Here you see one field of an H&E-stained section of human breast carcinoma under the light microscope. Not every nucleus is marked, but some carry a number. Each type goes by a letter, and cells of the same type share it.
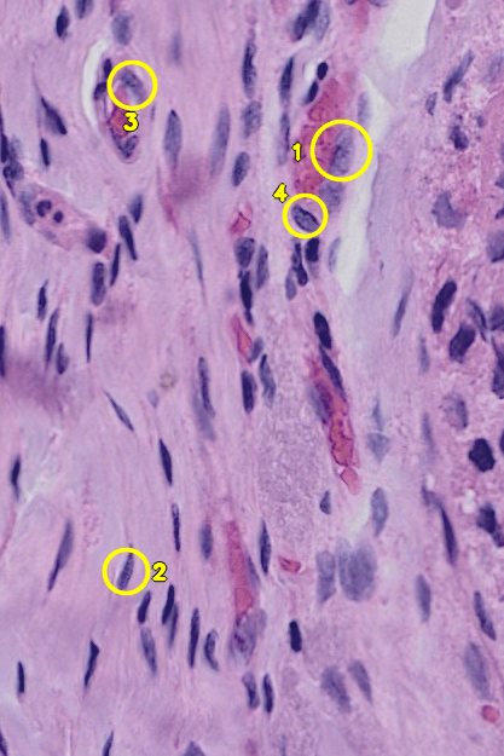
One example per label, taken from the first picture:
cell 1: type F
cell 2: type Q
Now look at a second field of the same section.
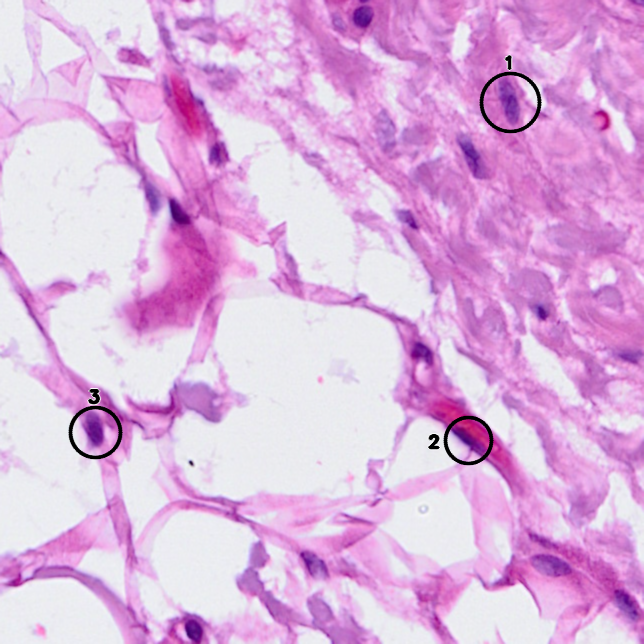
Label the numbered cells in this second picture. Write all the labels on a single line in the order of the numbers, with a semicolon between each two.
type Q; type F; type Q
